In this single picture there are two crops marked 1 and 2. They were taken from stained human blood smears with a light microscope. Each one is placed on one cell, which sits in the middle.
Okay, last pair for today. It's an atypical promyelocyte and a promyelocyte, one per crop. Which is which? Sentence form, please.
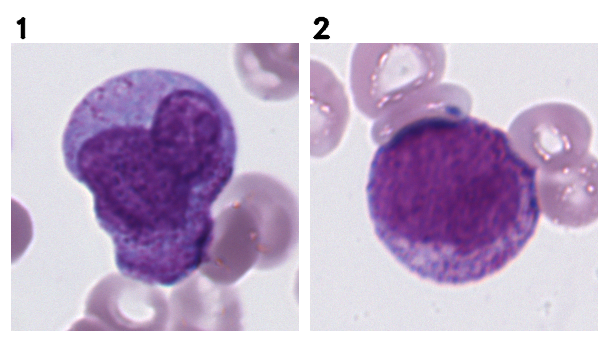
Crop 1 has an atypical promyelocyte at its centre, and crop 2 has a promyelocyte.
